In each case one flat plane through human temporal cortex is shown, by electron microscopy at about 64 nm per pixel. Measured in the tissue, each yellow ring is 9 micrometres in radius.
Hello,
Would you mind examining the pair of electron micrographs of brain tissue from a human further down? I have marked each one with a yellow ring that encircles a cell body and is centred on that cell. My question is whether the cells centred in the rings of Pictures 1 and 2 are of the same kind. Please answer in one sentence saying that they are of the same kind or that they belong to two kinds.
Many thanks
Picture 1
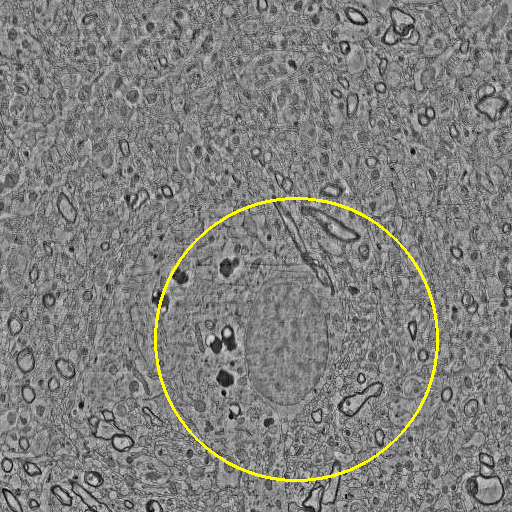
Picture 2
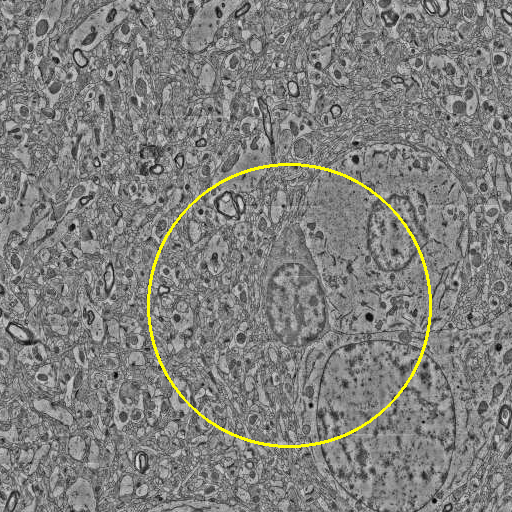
In Pictures 1 and 2, the cells at the heart of the rings are of the same kind.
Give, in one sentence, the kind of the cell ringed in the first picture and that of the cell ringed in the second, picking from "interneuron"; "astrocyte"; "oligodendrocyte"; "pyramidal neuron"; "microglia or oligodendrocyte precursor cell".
The cell in the first picture is an oligodendrocyte, and so is the one in the second.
